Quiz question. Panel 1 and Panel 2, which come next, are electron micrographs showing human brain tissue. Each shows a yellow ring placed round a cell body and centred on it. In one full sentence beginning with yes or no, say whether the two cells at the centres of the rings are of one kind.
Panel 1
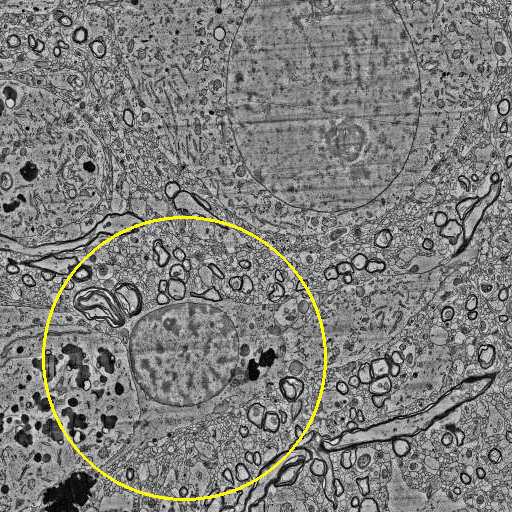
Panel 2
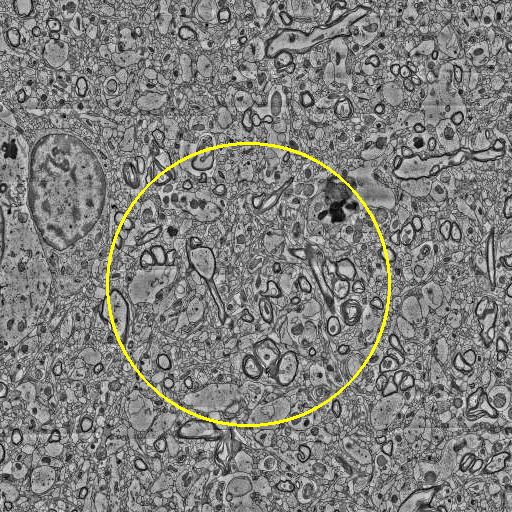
Yes, Panel 1 and Panel 2 show one kind of cell at the centre of the ring.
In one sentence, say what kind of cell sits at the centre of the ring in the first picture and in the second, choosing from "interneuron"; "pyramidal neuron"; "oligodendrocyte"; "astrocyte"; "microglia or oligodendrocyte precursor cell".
The ring centre holds an oligodendrocyte in each of the two pictures.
